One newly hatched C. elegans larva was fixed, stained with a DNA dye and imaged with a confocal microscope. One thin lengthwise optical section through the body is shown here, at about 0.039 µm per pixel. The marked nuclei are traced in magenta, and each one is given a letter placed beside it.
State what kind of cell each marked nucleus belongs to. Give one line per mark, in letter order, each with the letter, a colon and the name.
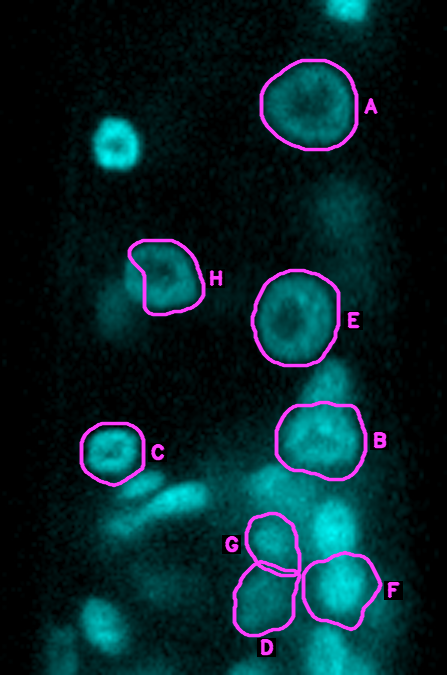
A: intestinal cell
B: body wall muscle cell
C: body wall muscle cell
D: pharyngeal muscle cell
E: intestinal cell
F: neuron
G: pharyngeal gland cell
H: intestinal cell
